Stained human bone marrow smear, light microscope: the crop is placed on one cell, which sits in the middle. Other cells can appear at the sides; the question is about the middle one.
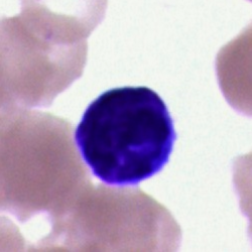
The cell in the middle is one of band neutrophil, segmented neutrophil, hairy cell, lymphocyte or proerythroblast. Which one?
lymphocyte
